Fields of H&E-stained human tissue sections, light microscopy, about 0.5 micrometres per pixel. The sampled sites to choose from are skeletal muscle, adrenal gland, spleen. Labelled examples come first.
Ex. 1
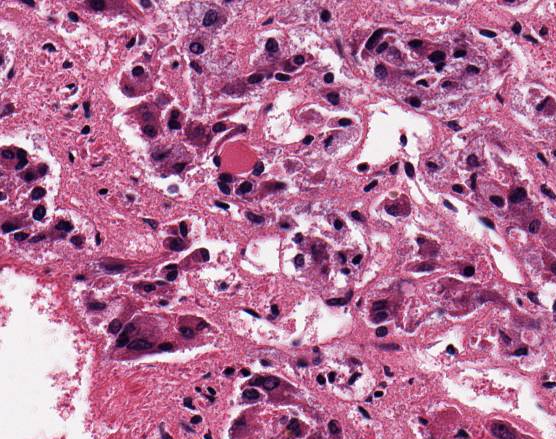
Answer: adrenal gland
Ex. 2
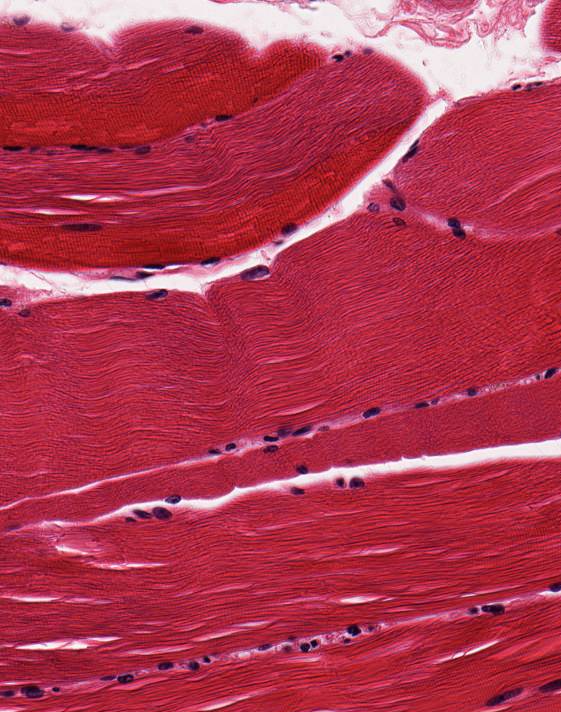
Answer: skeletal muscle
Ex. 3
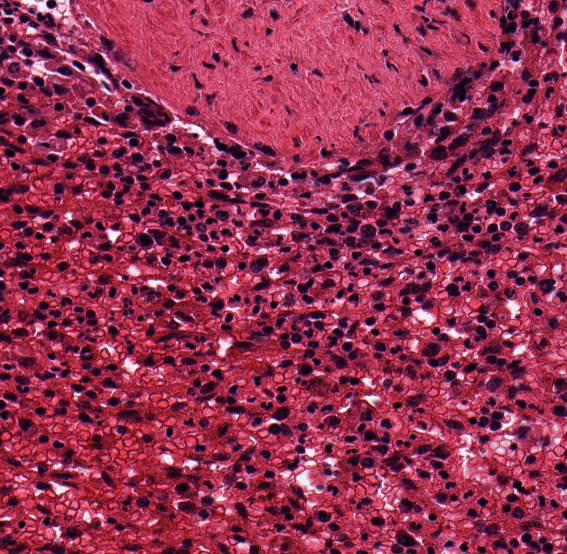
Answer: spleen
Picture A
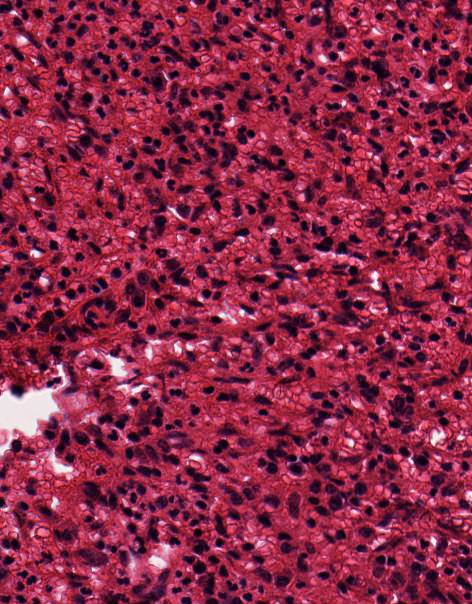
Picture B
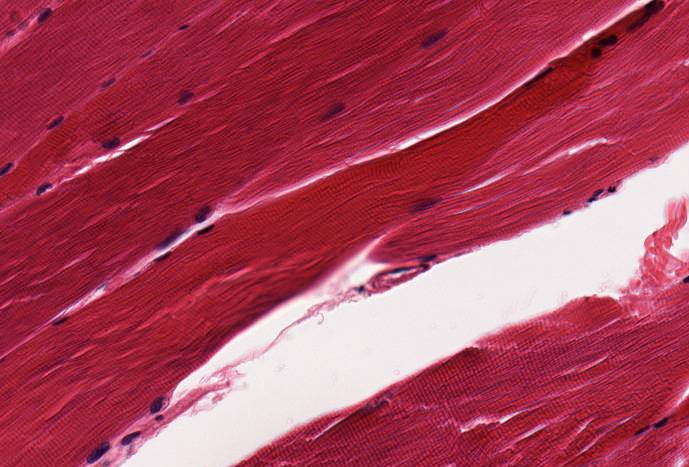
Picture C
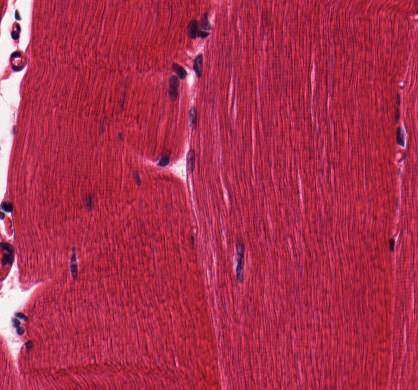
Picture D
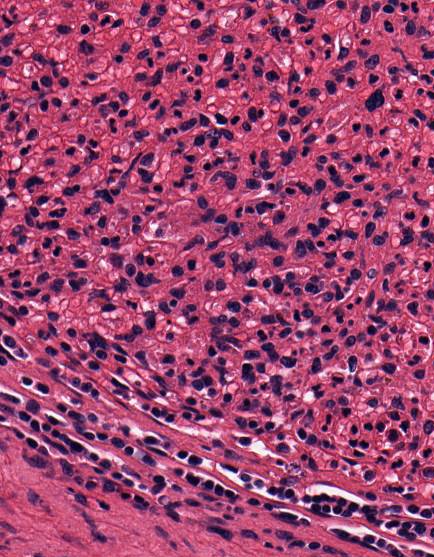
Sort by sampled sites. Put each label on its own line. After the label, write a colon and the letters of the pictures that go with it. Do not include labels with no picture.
skeletal muscle: B, C
spleen: A, D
